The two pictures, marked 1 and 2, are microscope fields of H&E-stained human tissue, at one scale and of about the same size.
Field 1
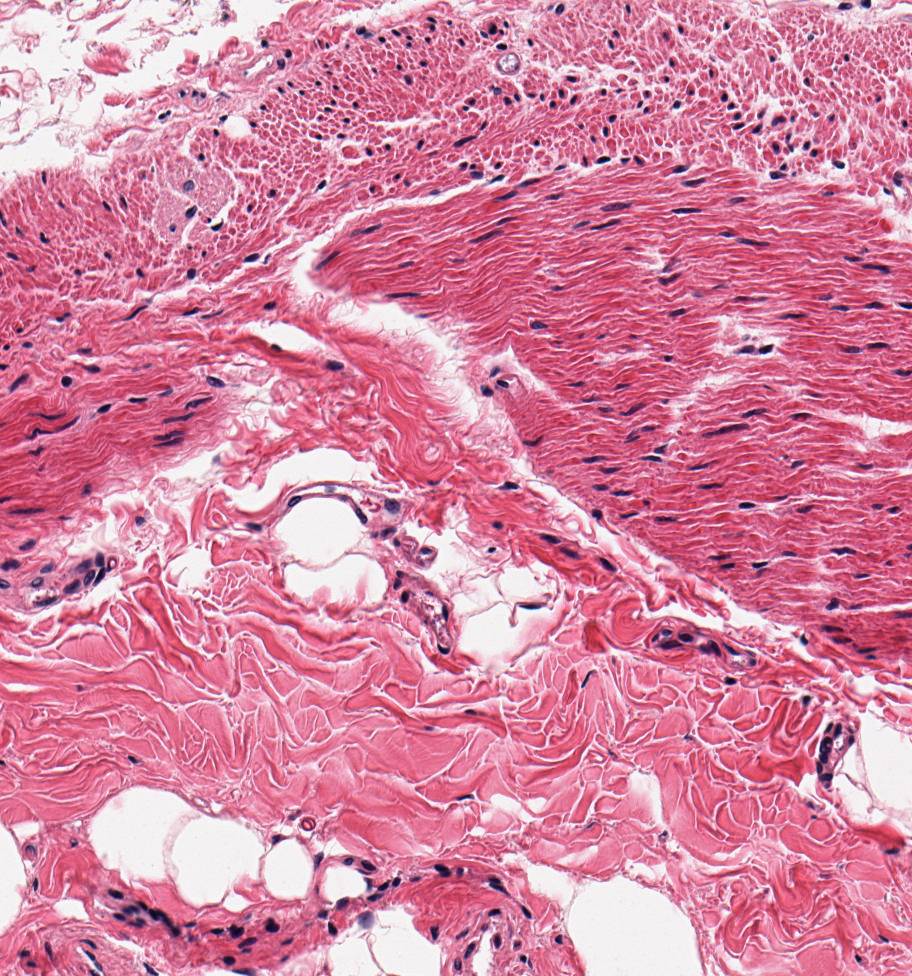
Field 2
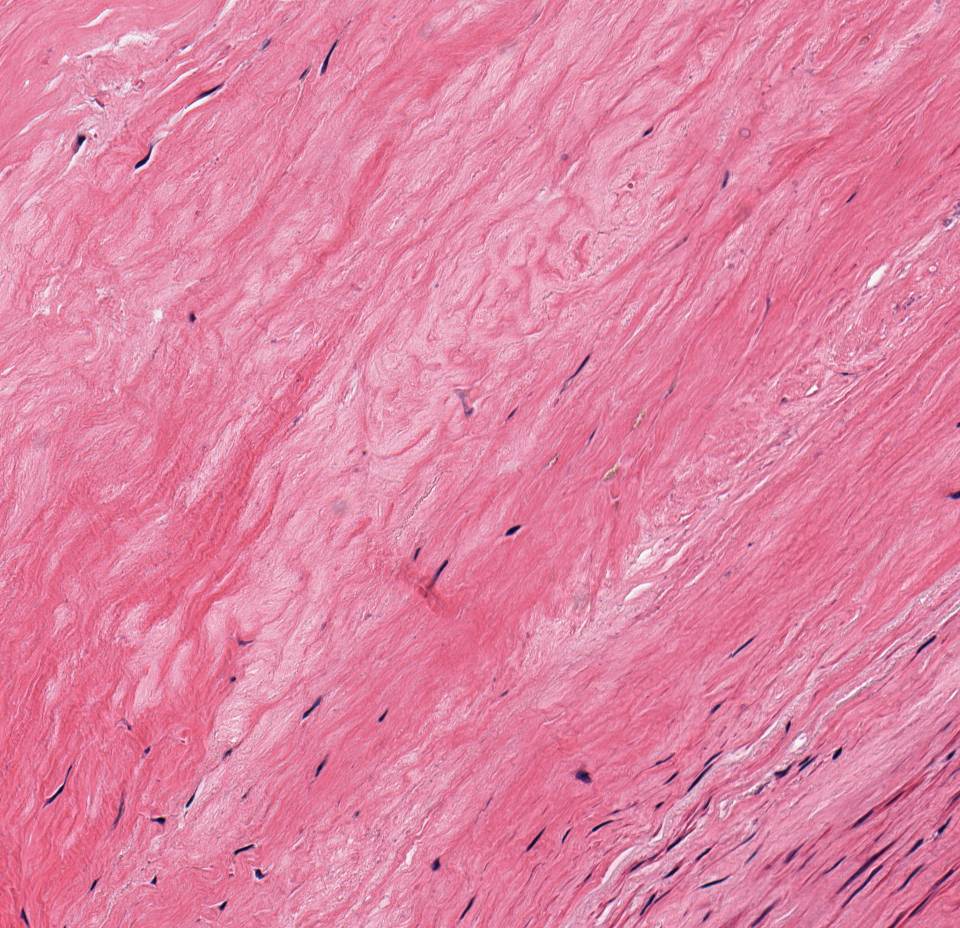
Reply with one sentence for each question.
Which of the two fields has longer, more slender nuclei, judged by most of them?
The nuclei are more elongated in field 2.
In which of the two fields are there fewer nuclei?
There are fewer nuclei in field 2.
